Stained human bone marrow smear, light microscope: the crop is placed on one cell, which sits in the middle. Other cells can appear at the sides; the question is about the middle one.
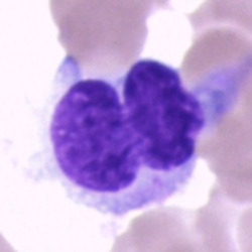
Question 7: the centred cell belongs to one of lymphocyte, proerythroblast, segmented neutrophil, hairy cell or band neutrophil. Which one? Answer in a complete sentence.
The cell at the middle of the frame should be recorded as a hairy cell.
